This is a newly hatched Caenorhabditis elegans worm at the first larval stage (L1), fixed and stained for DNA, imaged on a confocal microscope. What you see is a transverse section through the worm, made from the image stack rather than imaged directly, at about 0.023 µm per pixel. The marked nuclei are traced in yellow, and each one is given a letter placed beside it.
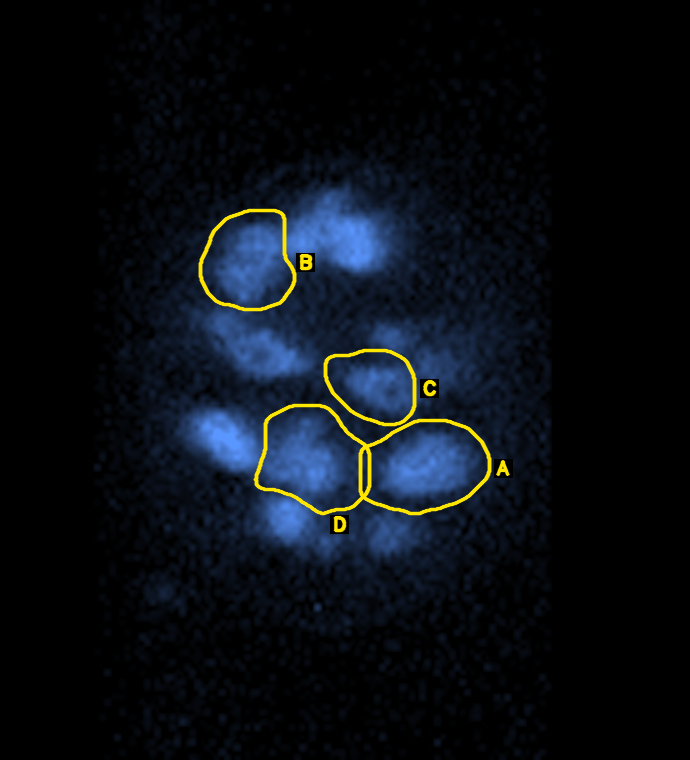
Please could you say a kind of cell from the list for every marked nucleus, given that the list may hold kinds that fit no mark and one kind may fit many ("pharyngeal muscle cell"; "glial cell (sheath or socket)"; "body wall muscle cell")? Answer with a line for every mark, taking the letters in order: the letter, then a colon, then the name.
A: glial cell (sheath or socket)
B: body wall muscle cell
C: pharyngeal muscle cell
D: pharyngeal muscle cell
